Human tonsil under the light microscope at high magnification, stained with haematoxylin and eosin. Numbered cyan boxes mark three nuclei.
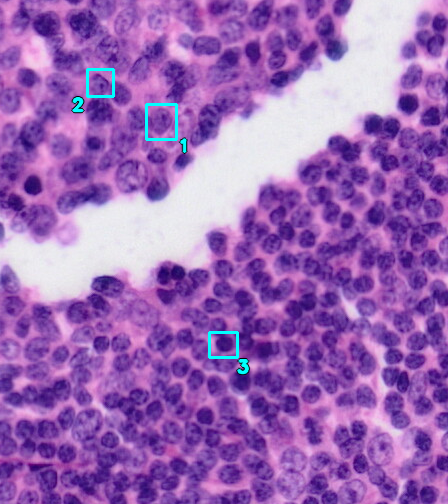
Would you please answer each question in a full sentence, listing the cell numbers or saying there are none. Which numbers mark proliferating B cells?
The cells marked 1 and 2 in the section are proliferating B cells.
